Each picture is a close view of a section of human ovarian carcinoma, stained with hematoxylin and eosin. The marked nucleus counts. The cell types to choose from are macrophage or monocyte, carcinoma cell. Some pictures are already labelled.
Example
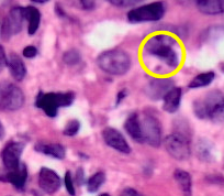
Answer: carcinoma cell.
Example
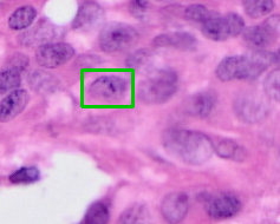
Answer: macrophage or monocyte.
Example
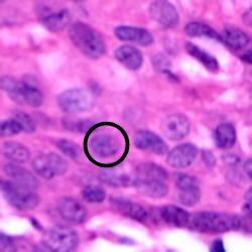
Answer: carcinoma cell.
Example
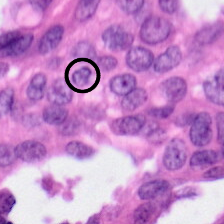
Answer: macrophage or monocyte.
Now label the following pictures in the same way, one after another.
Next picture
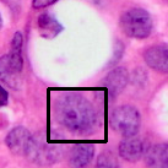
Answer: carcinoma cell.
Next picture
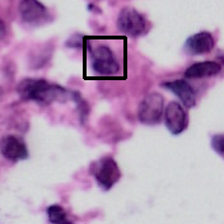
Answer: macrophage or monocyte.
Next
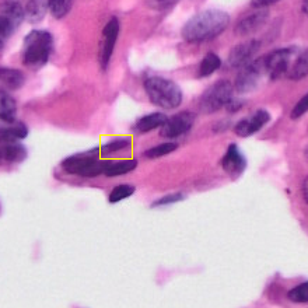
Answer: carcinoma cell.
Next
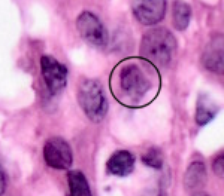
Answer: macrophage or monocyte.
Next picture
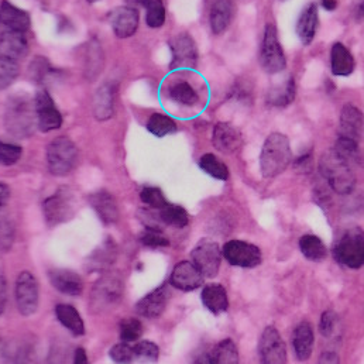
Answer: carcinoma cell.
